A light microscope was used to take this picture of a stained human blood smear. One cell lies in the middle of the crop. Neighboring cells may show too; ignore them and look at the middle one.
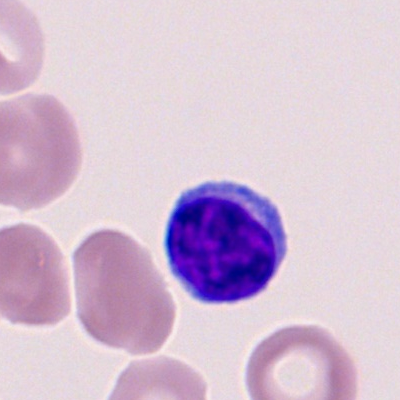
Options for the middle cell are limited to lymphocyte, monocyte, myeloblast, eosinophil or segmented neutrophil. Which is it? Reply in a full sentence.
At the crop's centre, the cell is a lymphocyte.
